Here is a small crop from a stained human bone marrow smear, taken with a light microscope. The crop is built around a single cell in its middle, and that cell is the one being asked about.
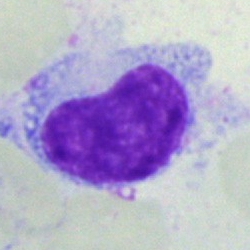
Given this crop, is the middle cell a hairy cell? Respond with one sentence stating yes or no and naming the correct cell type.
Yes, the central element of the crop is a hairy cell.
